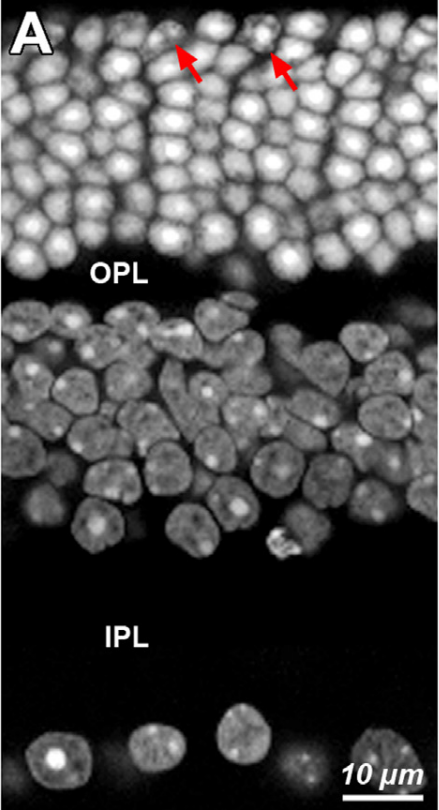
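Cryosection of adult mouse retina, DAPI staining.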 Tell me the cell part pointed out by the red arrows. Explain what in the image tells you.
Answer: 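Cone nuclei. The arrowed nuclei lie at the top of the densely packed upper layer. The arrowed nuclei show several smaller bright chromatin clumps instead of one large central bright spot like their neighbours.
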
